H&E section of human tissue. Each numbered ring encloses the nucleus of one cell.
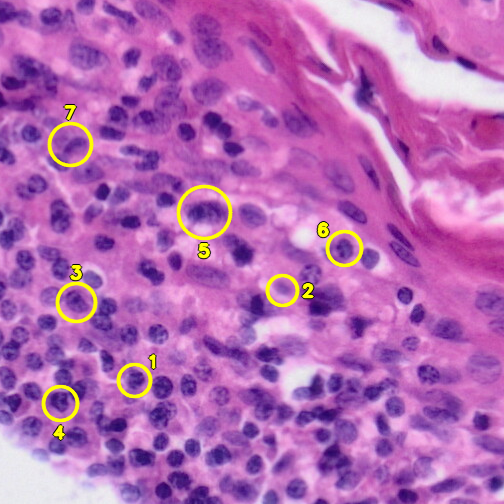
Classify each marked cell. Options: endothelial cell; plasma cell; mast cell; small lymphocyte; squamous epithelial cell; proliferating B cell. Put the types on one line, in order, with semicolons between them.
plasma cell; squamous epithelial cell; plasma cell; plasma cell; squamous epithelial cell; plasma cell; squamous epithelial cell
